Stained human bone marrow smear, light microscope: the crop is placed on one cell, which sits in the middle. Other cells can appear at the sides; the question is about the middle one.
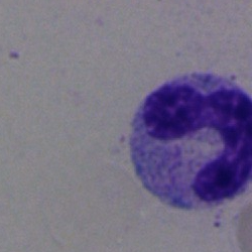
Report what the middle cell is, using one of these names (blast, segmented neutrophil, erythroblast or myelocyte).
segmented neutrophil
